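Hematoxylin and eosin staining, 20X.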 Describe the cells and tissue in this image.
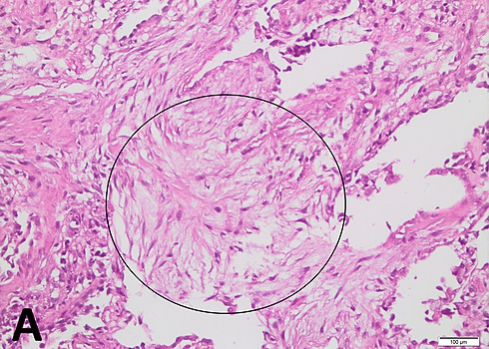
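This is lung tissue with a focus of fibroblastic proliferation lying between open air spaces. The focus is made of spindle-shaped cells with elongated, dark purple nuclei. These cells lie in a pale pink, loose matrix and are arranged in a swirling pattern. Around the focus, thin pink septa bordered by cells with small nuclei outline the air spaces.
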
